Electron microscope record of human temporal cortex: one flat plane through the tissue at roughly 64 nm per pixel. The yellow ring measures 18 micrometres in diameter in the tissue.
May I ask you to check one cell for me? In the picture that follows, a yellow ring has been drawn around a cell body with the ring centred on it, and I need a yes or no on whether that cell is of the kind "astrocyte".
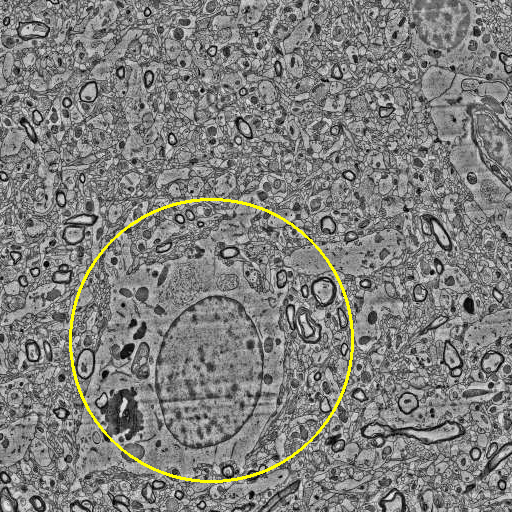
Yes, it is that kind of cell.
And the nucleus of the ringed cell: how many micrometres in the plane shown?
Roughly 10 micrometres by 7 micrometres, in this plane.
